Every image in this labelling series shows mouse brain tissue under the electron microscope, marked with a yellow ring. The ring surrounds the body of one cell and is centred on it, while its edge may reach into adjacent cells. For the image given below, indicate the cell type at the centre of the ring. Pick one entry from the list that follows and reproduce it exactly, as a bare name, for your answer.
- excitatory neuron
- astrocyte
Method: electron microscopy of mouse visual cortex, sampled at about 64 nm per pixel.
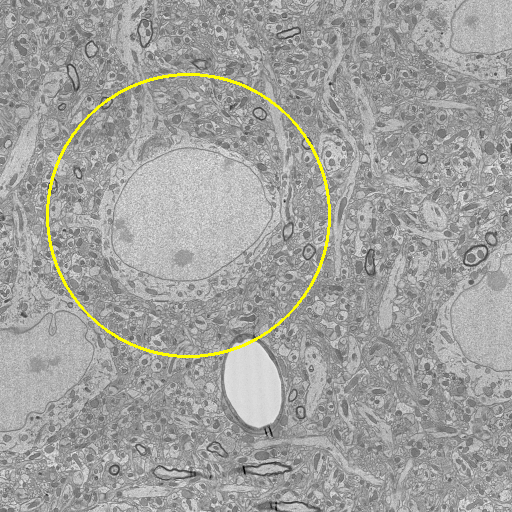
excitatory neuron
